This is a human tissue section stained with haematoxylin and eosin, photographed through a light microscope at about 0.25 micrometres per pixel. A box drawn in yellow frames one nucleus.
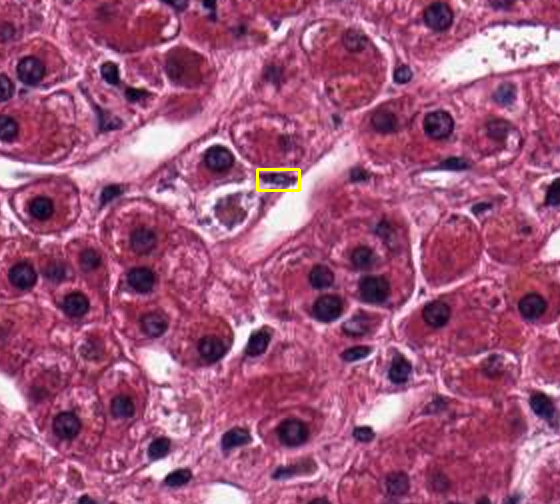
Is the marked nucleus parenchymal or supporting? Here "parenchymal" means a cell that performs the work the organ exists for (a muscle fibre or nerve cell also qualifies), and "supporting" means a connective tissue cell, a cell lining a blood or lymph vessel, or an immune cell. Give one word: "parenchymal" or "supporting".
supporting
